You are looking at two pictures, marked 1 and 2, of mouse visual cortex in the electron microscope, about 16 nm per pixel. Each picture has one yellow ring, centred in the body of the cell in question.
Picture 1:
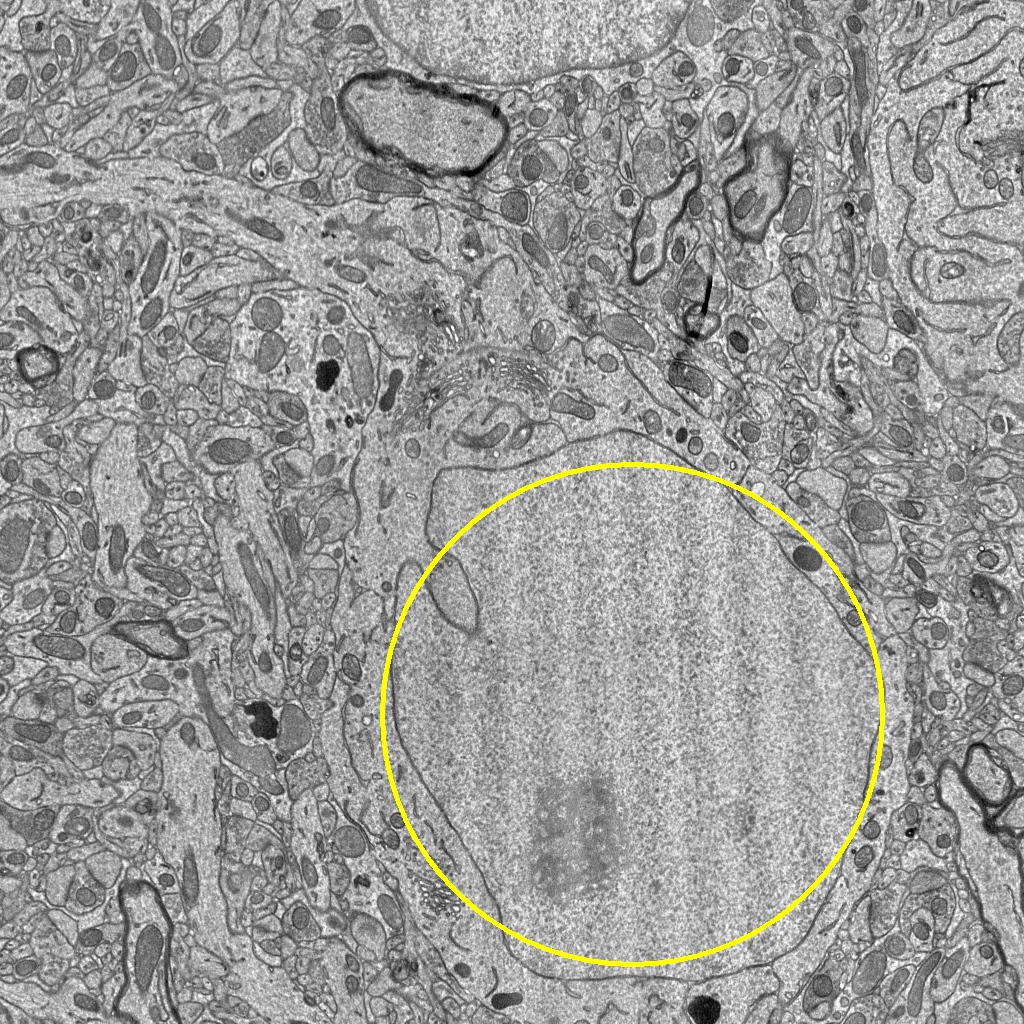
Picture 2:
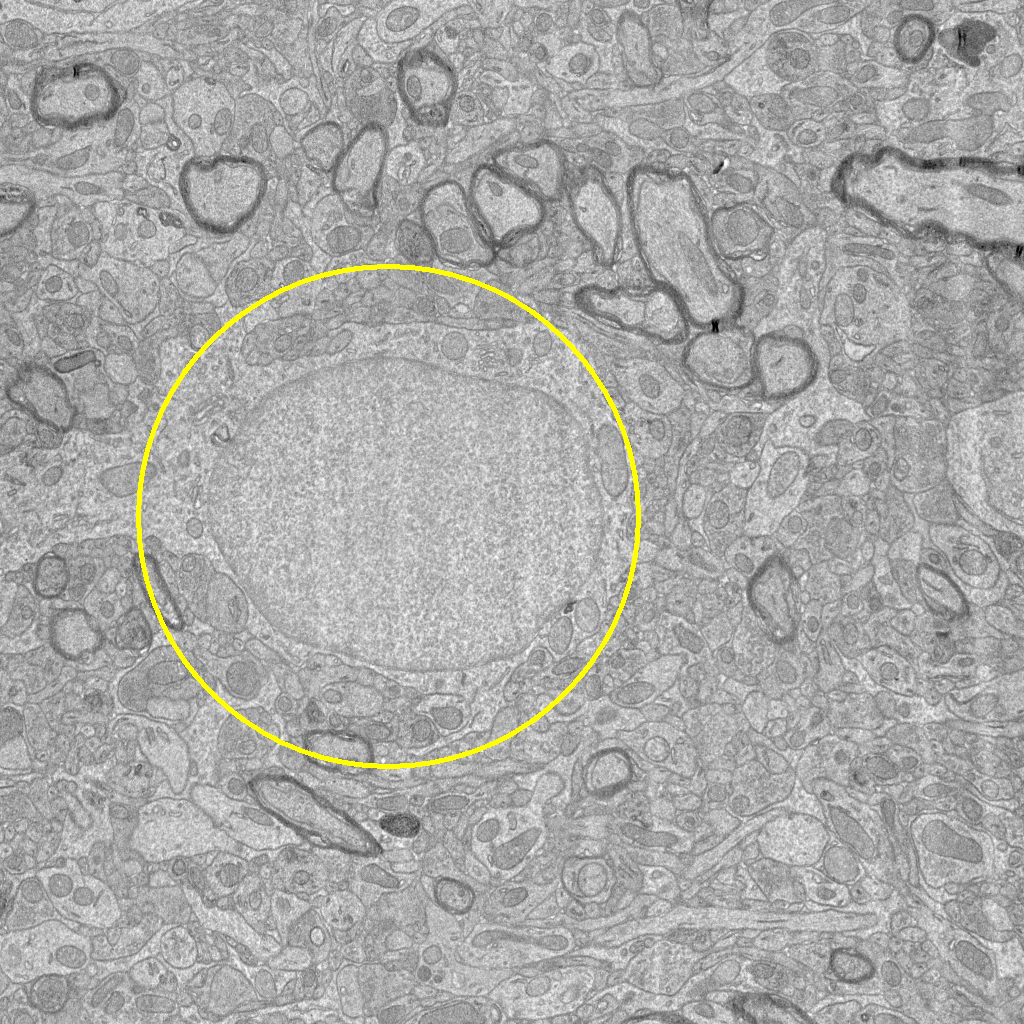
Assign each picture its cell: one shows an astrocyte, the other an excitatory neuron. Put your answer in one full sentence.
Picture 1 is of an excitatory neuron, and picture 2 is of an astrocyte.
